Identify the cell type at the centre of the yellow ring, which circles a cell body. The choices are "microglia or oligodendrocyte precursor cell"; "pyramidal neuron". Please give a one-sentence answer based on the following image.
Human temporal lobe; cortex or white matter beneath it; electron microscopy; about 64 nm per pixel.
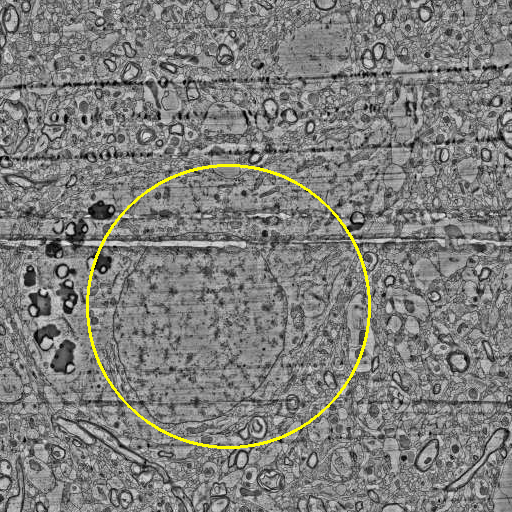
The cell marked by the ring is a pyramidal neuron.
